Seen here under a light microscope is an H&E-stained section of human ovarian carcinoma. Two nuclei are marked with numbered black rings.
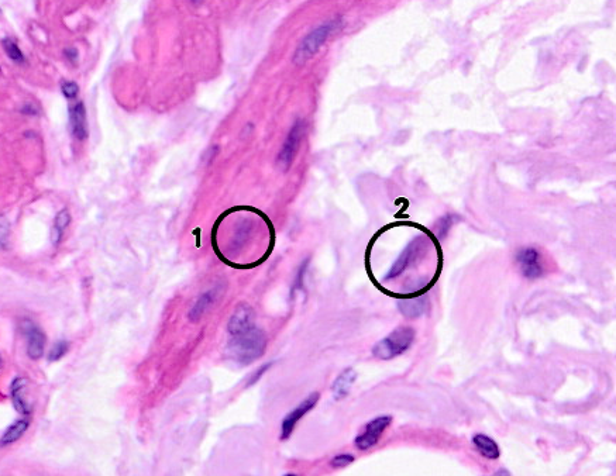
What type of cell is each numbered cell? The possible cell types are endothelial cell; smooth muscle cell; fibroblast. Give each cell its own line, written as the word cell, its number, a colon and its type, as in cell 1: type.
cell 1: smooth muscle cell
cell 2: fibroblast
